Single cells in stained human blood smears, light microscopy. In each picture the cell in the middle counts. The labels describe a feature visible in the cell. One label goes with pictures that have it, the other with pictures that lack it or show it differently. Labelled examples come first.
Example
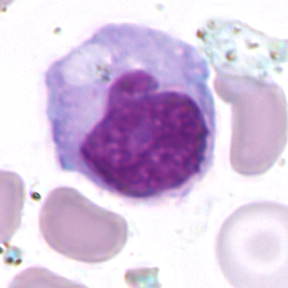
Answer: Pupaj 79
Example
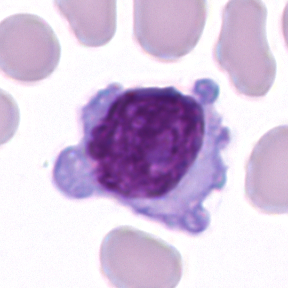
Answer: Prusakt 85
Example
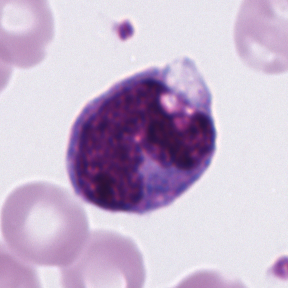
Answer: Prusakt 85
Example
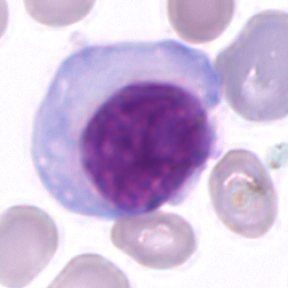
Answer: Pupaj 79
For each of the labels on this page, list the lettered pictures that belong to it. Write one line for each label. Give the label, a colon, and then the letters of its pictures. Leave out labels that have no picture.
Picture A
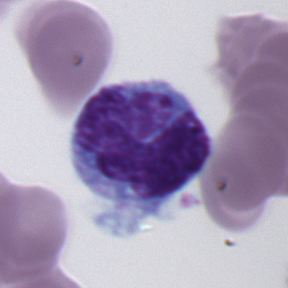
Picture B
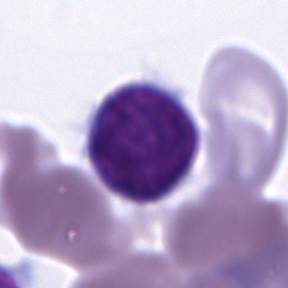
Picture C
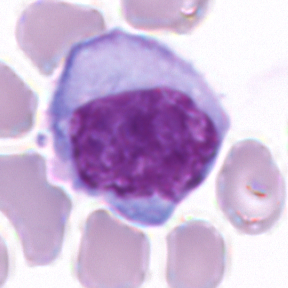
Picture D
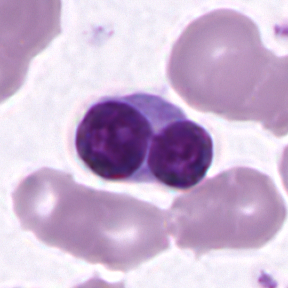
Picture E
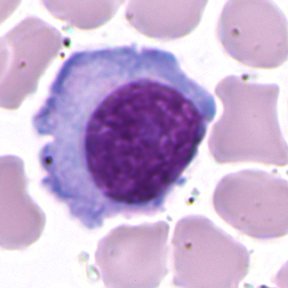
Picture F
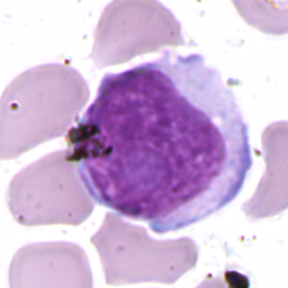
Pupaj 79: C, E
Prusakt 85: A, B, D, F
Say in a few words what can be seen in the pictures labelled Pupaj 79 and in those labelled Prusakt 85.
Seen in Pupaj 79: abundant cytoplasm; seen in Prusakt 85: scant cytoplasm.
